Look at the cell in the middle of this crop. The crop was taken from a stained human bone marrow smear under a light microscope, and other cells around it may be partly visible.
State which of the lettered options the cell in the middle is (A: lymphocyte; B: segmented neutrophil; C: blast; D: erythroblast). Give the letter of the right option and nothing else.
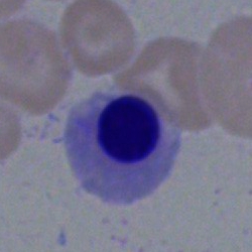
D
